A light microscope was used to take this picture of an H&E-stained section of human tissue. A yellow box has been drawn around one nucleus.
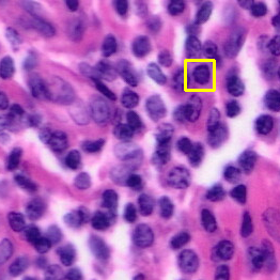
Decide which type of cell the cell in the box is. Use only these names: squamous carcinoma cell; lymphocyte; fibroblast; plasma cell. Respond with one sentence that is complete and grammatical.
Among the cells in this section, the cell in the box is a plasma cell.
